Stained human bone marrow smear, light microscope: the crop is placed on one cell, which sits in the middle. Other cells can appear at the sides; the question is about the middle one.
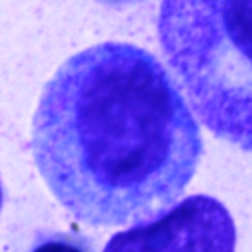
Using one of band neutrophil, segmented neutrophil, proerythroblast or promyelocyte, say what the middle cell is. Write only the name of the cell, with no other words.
promyelocyte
